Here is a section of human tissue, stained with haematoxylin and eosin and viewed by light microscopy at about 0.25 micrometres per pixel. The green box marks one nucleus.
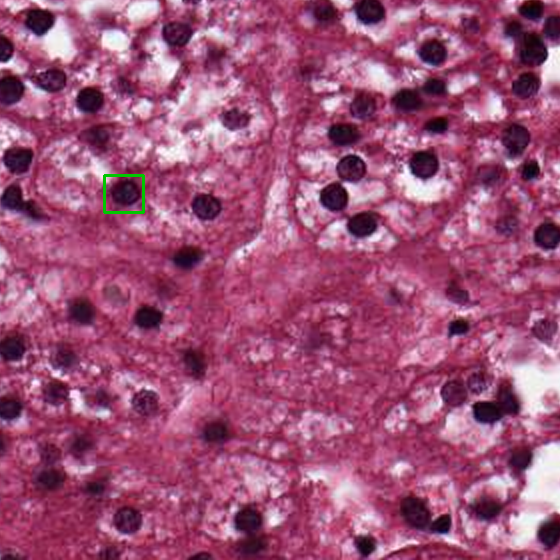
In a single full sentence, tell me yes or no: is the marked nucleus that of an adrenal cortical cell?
Yes, the marked nucleus sits in an adrenal cortical cell.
